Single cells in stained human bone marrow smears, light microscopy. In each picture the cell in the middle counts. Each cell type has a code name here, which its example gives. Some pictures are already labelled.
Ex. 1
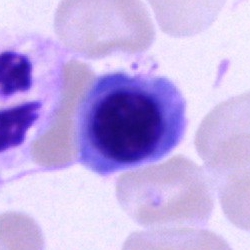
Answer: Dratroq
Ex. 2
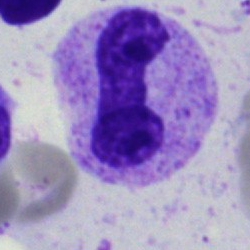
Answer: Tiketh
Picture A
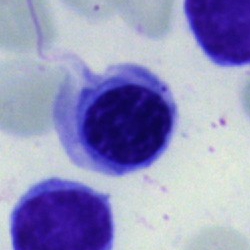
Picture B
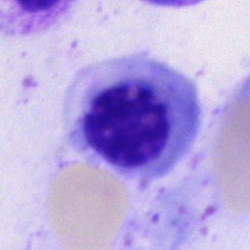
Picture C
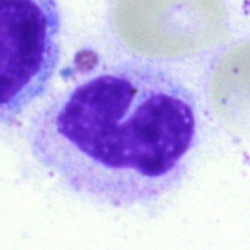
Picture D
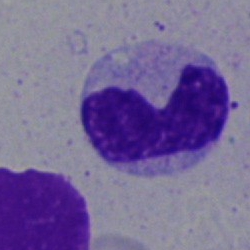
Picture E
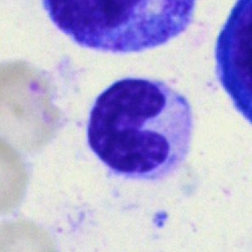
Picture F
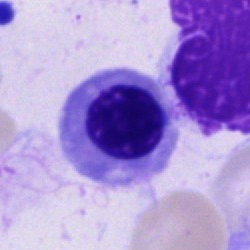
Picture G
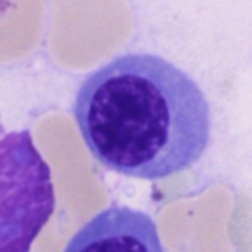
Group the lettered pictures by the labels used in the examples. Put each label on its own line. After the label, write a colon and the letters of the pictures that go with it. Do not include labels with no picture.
Dratroq: A, B, F, G
Tiketh: C, D, E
